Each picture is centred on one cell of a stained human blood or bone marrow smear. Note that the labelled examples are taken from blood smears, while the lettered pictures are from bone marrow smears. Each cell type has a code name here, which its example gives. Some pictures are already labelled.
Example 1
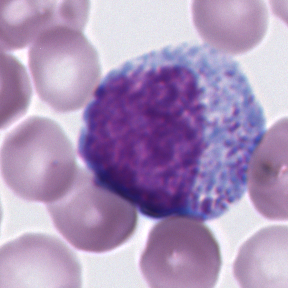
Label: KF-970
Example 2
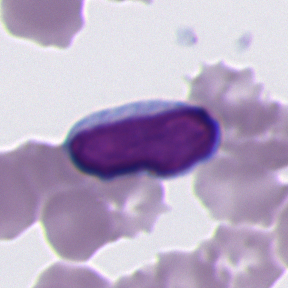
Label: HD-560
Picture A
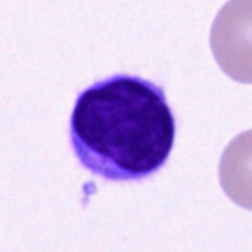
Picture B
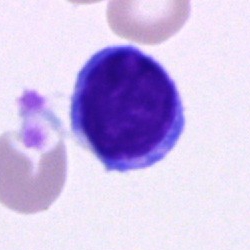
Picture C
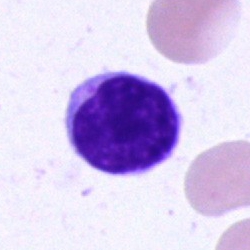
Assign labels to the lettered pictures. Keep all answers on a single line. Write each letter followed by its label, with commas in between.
A HD-560, B HD-560, C HD-560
